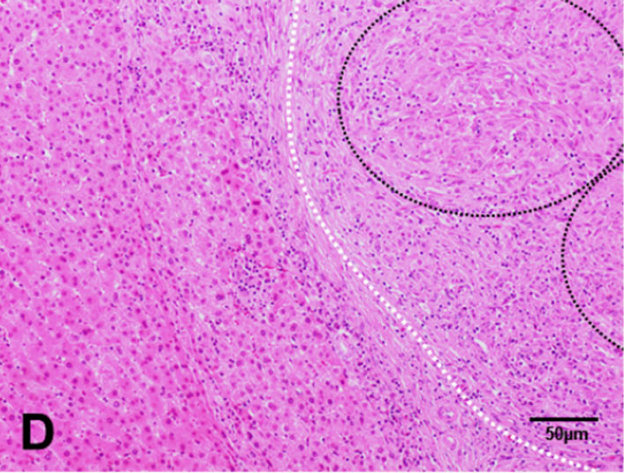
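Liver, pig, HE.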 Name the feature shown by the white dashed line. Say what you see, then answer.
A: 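Thin connective tissue capsule. A narrow band of elongated spindle cells and pink fibres. It runs between the nodules and the polygonal-cell parenchyma.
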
